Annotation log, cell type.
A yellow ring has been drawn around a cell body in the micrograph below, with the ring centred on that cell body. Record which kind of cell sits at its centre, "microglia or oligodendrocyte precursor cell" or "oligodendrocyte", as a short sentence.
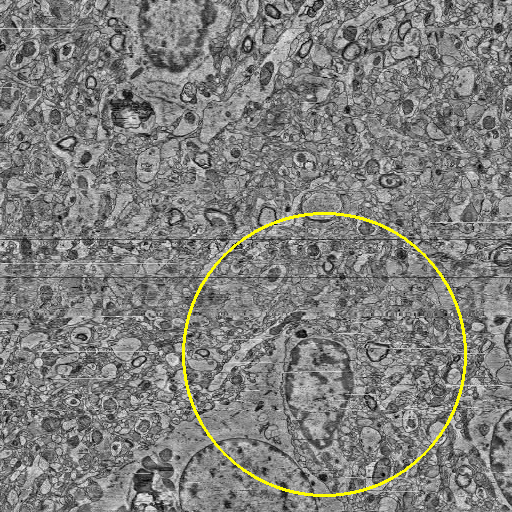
The cell at the centre of this ring is a microglial cell or oligodendrocyte precursor cell.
